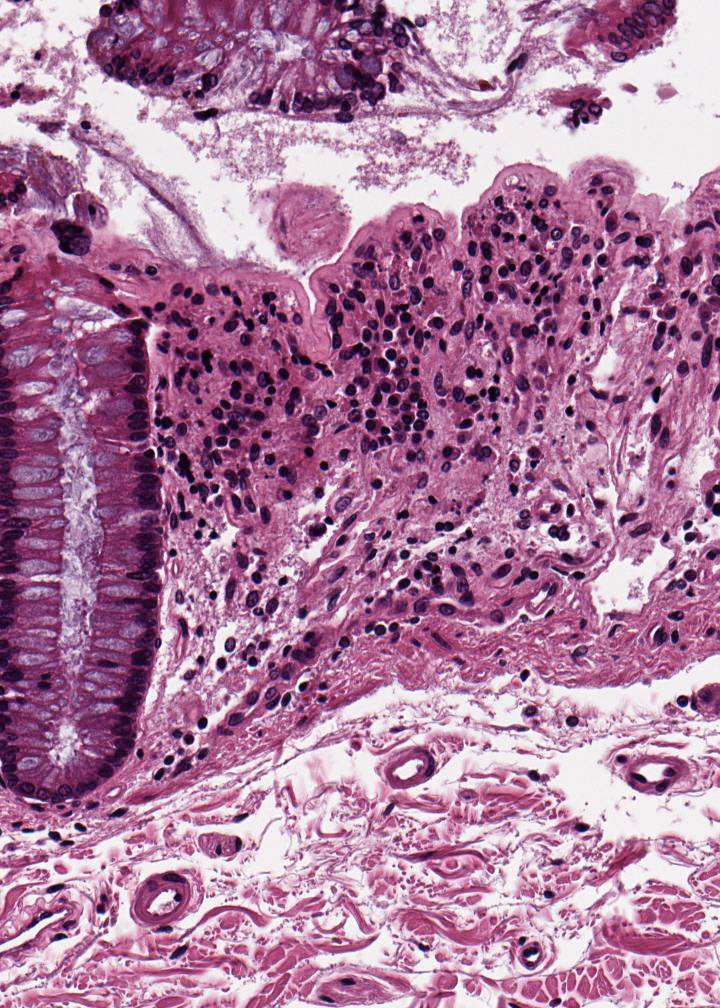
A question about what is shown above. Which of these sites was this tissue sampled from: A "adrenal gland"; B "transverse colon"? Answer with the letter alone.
B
